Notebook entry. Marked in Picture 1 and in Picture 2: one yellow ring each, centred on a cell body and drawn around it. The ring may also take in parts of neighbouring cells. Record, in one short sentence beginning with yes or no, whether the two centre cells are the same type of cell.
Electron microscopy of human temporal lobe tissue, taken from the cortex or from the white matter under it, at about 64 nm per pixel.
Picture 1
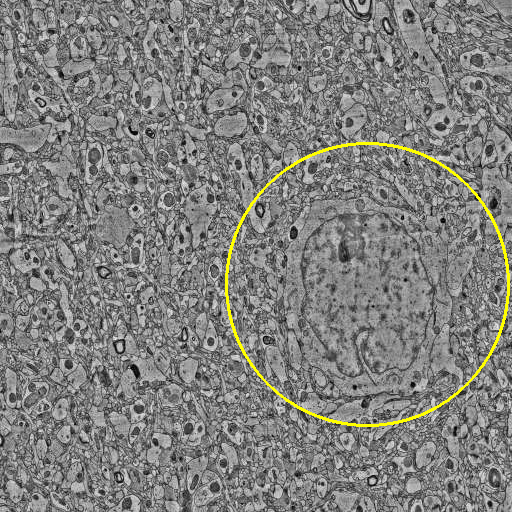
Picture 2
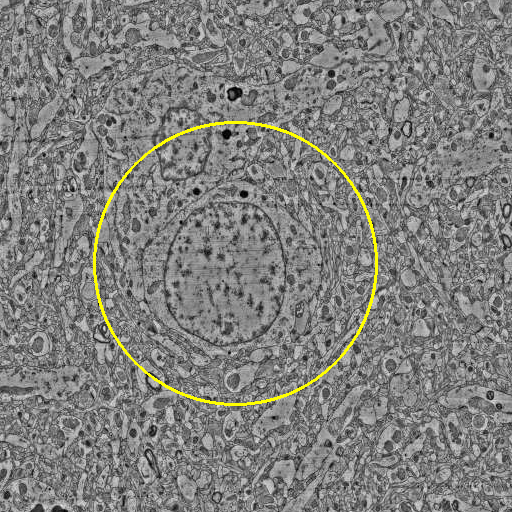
No, they are two types of cell.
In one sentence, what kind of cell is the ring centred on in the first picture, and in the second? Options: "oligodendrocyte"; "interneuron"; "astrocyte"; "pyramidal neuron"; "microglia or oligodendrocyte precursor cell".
The cell at the centre of the second ring is a pyramidal neuron; the first ring's cell is an interneuron.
